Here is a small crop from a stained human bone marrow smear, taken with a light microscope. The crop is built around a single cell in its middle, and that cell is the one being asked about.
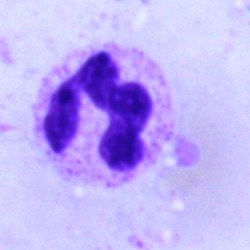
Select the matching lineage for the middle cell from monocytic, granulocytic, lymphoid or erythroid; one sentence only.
Lineage of the cell at the center of this crop: granulocytic.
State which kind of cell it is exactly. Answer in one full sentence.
Within this crop, a segmented neutrophil occupies the central position.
